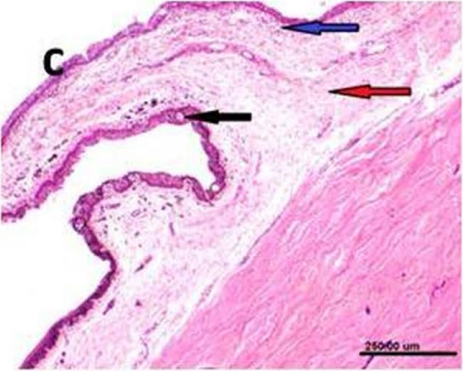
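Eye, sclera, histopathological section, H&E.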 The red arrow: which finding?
Edema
